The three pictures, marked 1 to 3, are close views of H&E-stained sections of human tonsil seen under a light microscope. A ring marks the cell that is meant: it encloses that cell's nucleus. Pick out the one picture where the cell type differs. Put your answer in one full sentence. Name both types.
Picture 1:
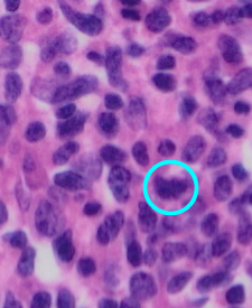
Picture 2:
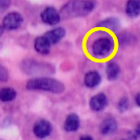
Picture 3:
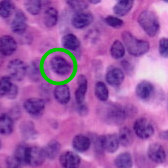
Picture 1 differs, because its cell is a proliferating B cell and the rest are plasma cells.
